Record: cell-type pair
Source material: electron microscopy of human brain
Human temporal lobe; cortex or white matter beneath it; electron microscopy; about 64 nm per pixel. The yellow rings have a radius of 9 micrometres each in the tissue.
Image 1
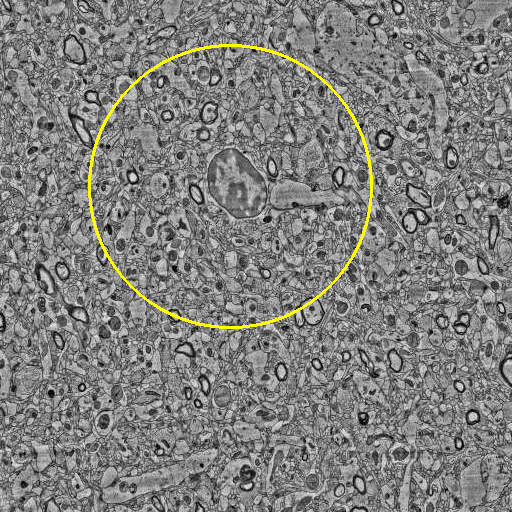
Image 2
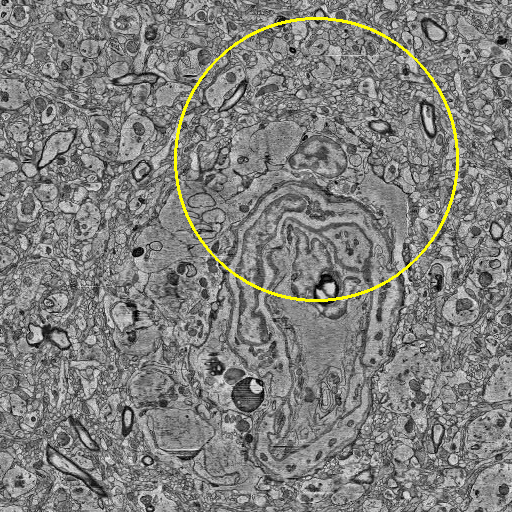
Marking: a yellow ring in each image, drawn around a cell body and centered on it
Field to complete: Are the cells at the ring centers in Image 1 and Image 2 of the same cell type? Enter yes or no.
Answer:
yes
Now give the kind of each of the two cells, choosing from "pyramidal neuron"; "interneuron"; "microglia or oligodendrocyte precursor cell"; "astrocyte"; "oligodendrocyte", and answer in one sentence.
The first and the second cell are each a microglial cell or oligodendrocyte precursor cell.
